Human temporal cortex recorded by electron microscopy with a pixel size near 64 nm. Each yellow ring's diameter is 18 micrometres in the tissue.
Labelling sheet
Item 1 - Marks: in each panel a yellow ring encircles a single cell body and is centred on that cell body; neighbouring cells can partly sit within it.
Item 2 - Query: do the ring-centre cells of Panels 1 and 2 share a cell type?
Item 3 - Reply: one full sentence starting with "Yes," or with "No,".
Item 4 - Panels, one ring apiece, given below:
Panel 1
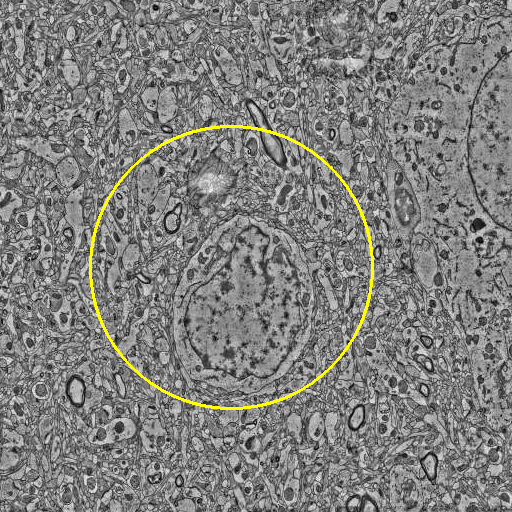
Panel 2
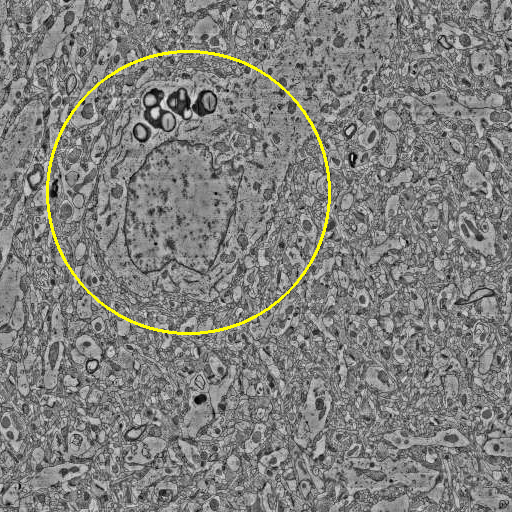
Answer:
No, Panel 1 and Panel 2 show two cell types at the centres of their rings.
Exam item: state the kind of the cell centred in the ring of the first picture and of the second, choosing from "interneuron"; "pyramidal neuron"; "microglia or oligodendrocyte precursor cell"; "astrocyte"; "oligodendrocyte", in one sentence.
The first picture shows an interneuron at the ring centre and the second shows a pyramidal neuron.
